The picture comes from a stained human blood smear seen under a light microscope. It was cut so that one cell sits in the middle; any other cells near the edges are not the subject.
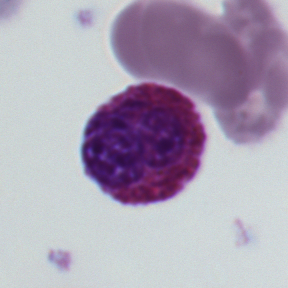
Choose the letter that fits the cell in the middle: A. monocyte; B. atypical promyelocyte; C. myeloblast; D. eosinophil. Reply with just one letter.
D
